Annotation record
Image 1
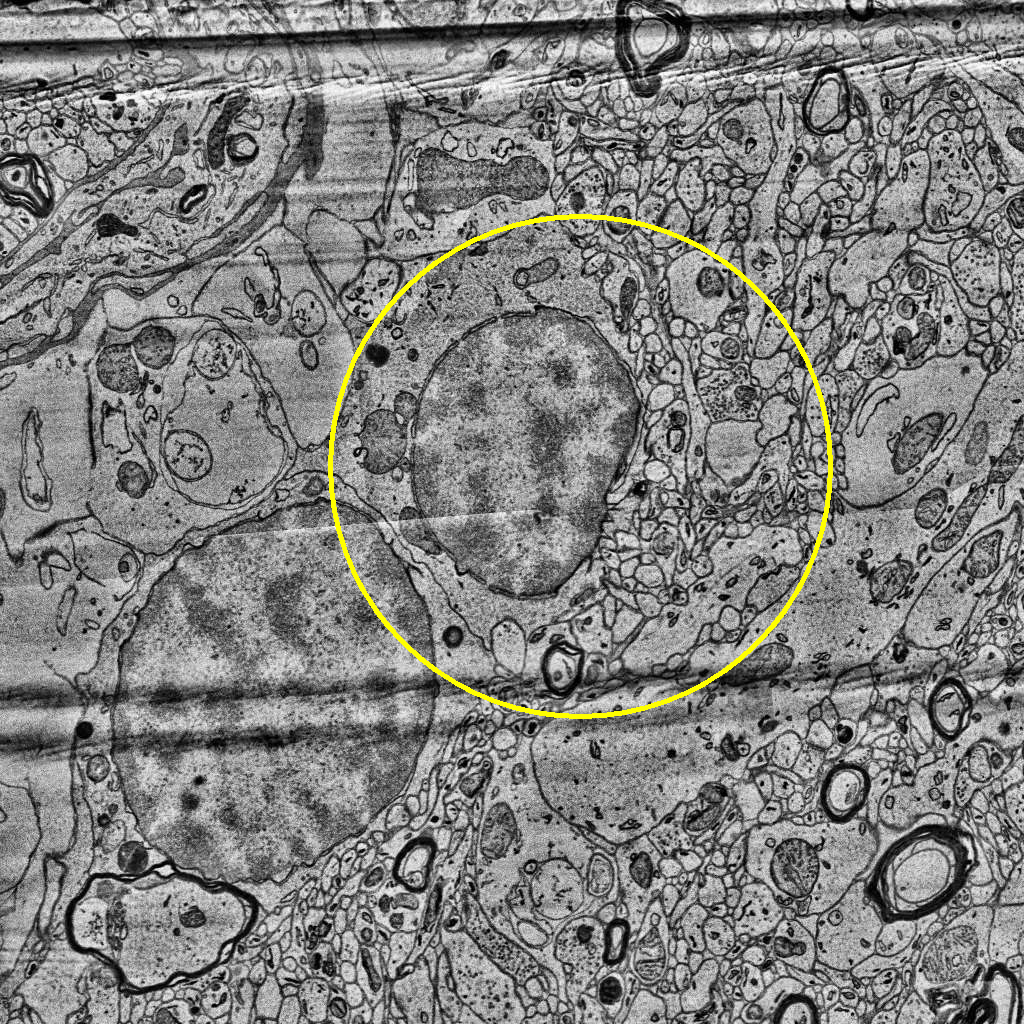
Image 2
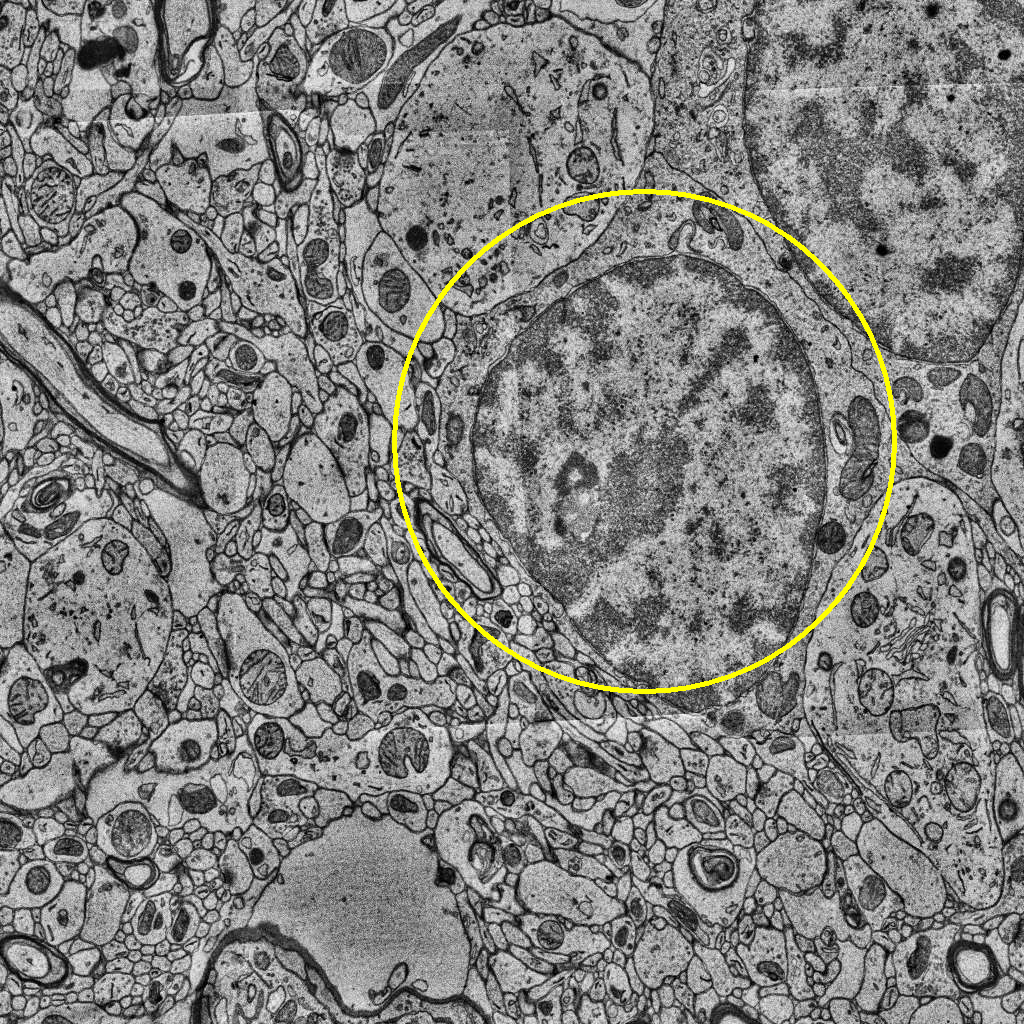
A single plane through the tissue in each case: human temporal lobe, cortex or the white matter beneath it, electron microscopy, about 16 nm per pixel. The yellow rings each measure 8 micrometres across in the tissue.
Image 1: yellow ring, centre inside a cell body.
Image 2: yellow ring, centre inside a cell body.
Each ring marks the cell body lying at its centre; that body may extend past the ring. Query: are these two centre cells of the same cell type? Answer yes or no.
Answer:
yes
